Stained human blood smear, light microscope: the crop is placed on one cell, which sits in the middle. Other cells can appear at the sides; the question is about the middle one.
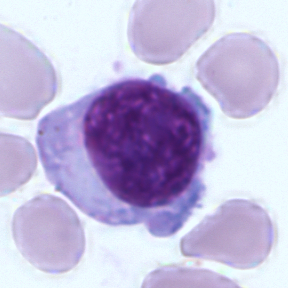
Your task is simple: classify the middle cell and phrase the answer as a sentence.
The central cell in this smear crop is a plasma cell.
